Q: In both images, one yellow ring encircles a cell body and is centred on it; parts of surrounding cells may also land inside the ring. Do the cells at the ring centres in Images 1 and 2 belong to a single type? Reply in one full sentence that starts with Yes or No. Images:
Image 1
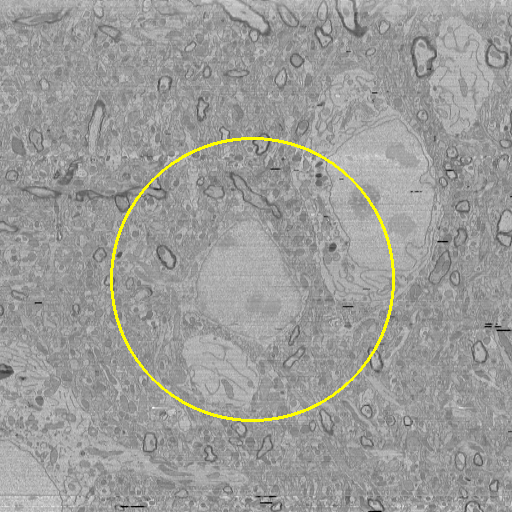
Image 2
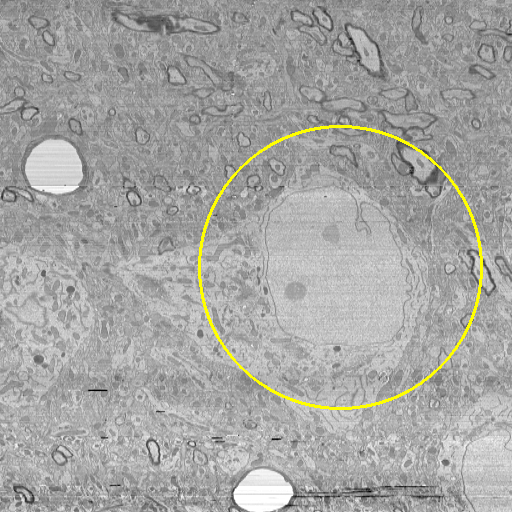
No, the cells at the ring centres in Images 1 and 2 are of two types.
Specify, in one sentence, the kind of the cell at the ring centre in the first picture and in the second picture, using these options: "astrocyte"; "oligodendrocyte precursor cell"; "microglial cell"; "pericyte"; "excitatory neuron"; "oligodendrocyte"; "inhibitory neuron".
So the first is an astrocyte, the second an excitatory neuron.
